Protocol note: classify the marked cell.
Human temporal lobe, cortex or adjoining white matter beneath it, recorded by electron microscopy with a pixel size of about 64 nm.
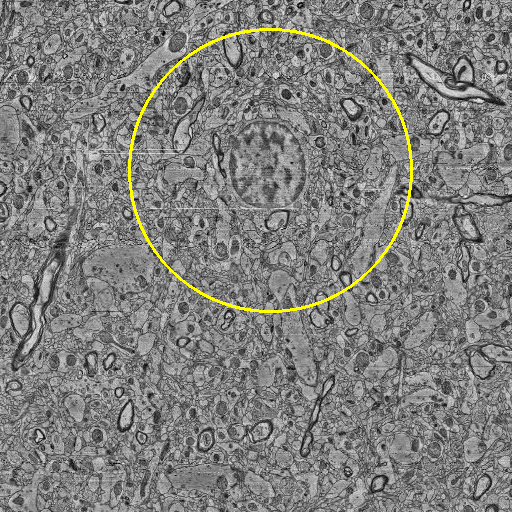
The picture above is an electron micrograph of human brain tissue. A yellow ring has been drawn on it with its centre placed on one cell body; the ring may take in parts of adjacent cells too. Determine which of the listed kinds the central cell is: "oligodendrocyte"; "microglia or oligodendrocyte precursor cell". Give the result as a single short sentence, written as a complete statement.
The central cell is an oligodendrocyte.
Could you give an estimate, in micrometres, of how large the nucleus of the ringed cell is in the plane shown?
The nucleus comes to roughly 6 by 5 micrometres in this plane.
